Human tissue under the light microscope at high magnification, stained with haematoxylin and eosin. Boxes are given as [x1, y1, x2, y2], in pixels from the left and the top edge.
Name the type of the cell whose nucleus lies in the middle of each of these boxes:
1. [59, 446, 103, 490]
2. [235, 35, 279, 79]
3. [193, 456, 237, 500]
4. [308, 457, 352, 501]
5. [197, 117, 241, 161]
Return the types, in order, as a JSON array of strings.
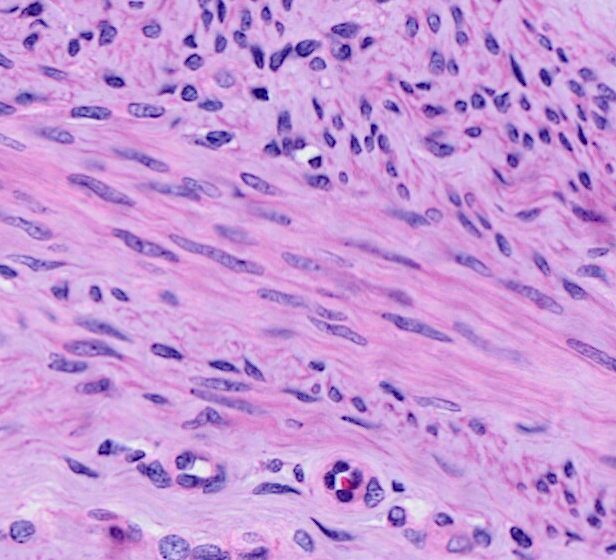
["fibroblast", "fibroblast", "endothelial cell", "endothelial cell", "lymphocyte"]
